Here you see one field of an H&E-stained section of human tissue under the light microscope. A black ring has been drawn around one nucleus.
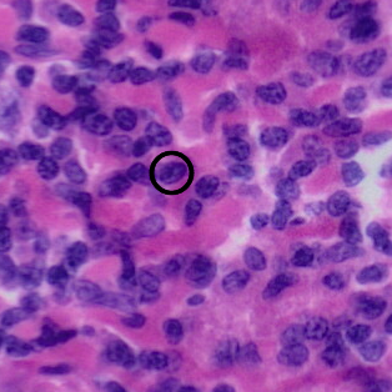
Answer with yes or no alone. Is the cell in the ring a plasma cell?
yes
